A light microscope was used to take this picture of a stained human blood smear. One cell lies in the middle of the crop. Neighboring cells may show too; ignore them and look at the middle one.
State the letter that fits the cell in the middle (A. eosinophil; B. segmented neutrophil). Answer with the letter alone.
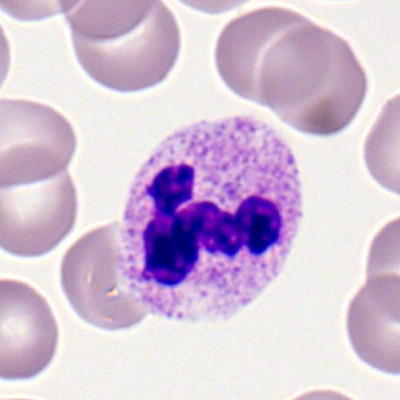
B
